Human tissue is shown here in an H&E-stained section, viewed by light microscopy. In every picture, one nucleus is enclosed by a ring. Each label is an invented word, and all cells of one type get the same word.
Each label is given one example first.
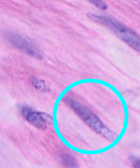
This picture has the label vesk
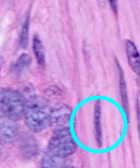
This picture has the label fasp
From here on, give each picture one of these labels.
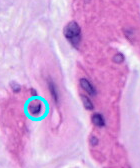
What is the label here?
vesk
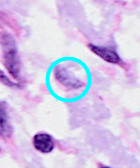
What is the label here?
fasp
